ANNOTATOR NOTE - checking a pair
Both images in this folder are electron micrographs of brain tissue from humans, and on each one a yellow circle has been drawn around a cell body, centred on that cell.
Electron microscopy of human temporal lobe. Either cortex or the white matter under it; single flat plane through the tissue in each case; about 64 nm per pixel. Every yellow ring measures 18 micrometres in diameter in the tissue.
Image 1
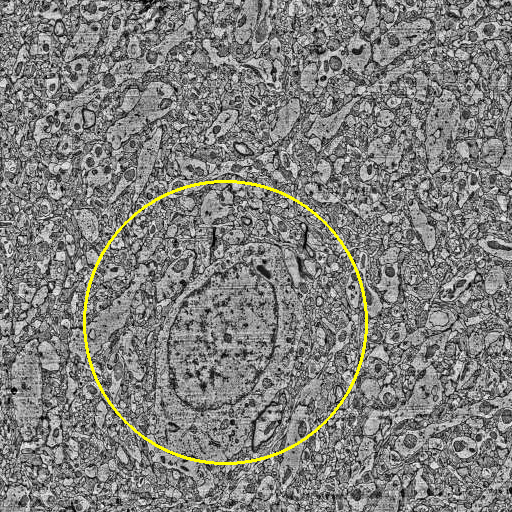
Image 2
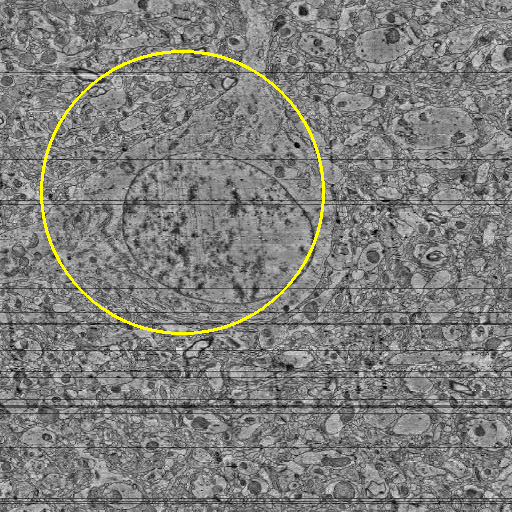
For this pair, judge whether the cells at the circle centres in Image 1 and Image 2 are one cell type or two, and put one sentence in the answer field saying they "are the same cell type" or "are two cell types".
For this pair, the cells at the circle centres in Images 1 and 2 are two cell types.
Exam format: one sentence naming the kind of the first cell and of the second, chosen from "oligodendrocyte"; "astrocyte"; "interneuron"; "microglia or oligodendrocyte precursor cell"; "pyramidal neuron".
The first picture's cell is an interneuron, and the second picture's cell is a pyramidal neuron.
